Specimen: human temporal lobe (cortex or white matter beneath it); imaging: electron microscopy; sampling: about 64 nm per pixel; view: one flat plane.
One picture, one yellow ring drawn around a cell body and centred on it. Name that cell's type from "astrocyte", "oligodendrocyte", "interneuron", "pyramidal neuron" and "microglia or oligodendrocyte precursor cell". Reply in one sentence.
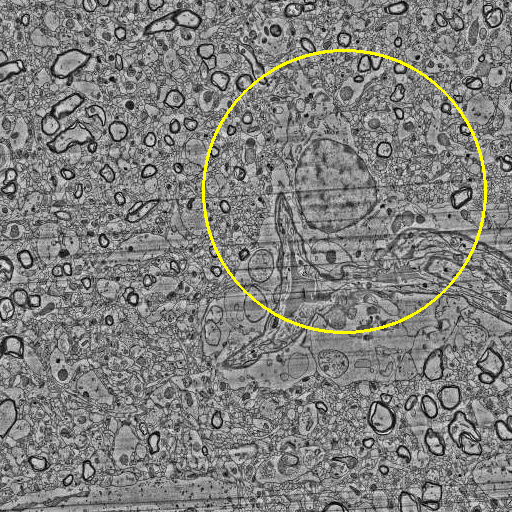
Centred in the ring is a microglial cell or oligodendrocyte precursor cell.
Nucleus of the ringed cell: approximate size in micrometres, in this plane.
The nucleus has a long axis of about 6 micrometres and a short axis of about 5 micrometres in this plane.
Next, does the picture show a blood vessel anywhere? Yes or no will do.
Yes, a vessel shows somewhere in the image.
